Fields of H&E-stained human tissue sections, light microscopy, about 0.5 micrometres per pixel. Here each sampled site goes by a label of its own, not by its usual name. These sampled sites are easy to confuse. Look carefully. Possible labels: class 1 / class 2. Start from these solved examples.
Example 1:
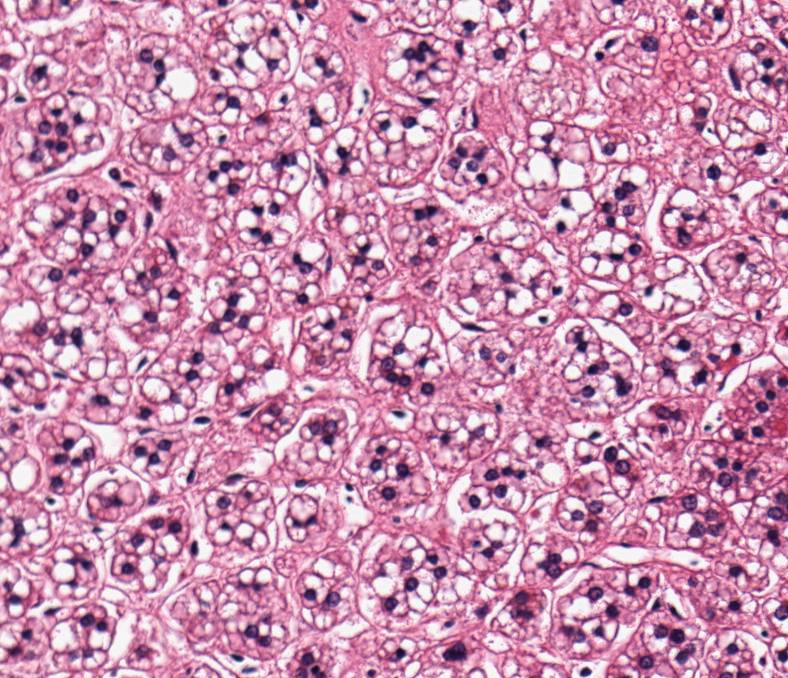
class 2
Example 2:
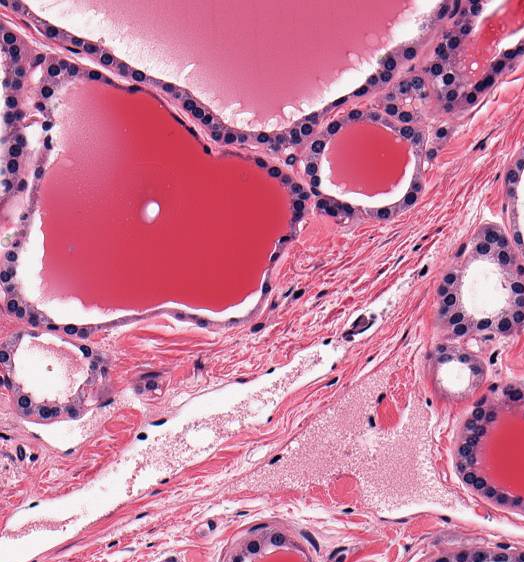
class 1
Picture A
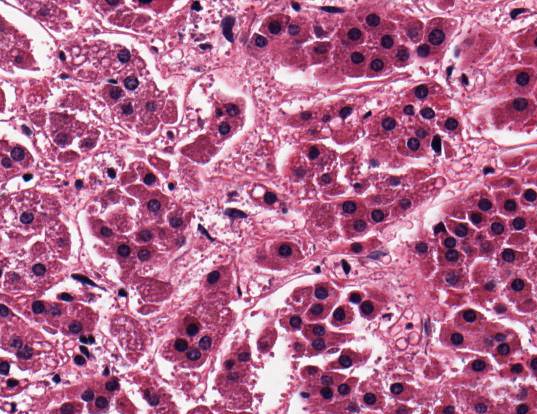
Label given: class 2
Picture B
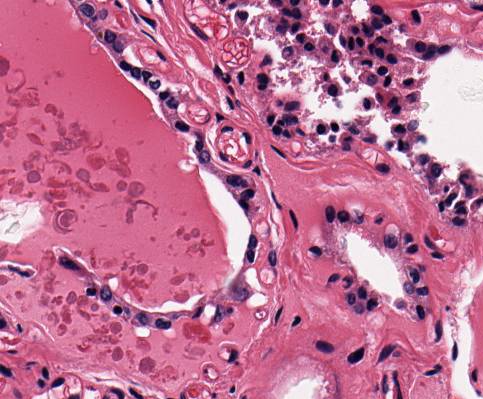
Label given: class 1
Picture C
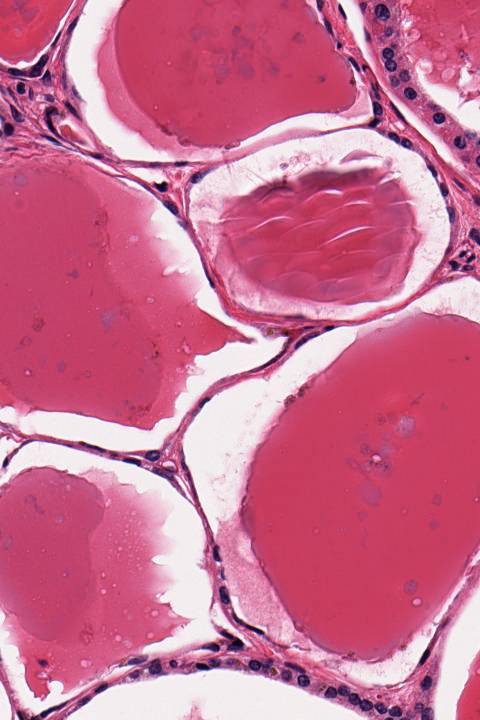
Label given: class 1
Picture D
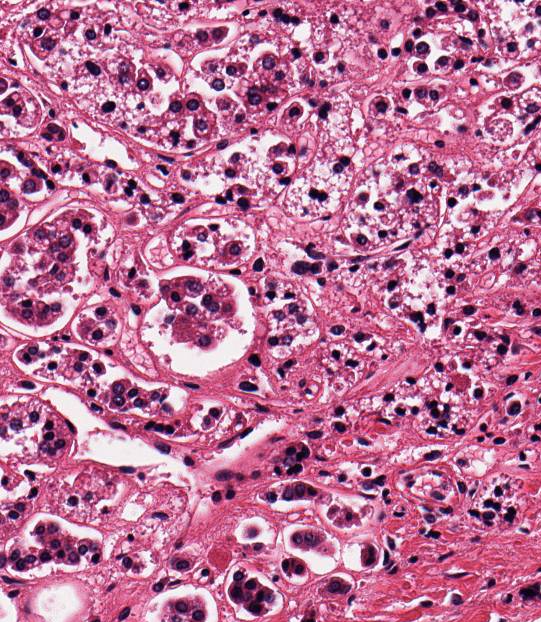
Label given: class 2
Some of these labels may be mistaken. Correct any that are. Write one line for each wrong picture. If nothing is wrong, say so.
Every label is right.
